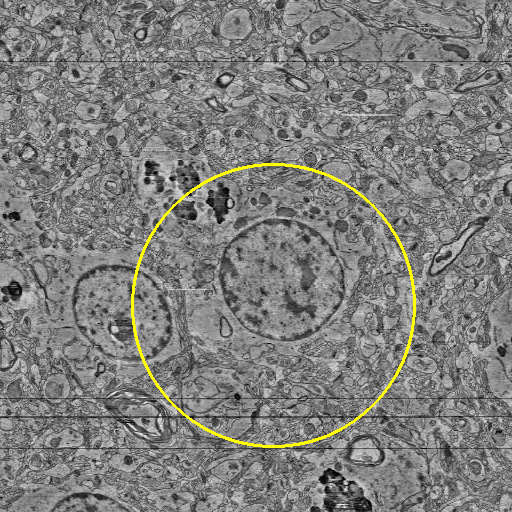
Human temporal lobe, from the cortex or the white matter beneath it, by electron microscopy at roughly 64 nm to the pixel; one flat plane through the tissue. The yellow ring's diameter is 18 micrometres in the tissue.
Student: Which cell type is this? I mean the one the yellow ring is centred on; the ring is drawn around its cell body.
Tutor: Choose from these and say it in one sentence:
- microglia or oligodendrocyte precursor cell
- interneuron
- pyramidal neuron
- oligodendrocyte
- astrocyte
The cell the ring is centred on is an astrocyte.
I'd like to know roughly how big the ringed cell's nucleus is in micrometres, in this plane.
About 8 micrometers across, in this plane.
